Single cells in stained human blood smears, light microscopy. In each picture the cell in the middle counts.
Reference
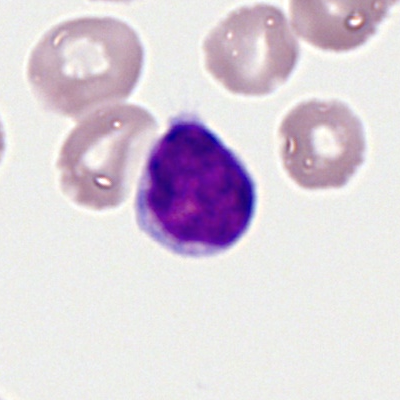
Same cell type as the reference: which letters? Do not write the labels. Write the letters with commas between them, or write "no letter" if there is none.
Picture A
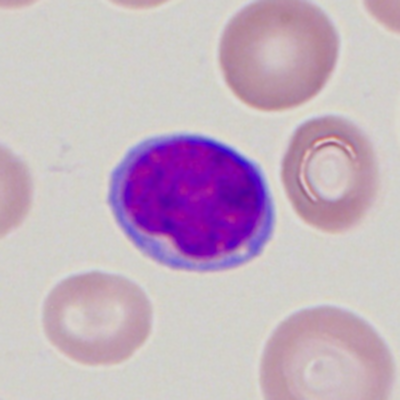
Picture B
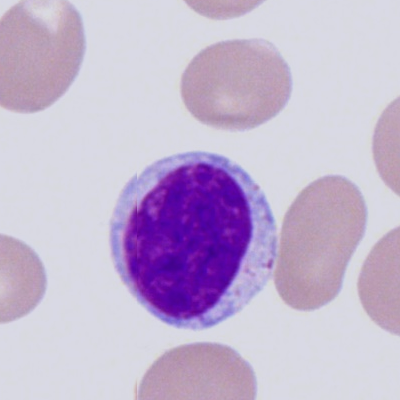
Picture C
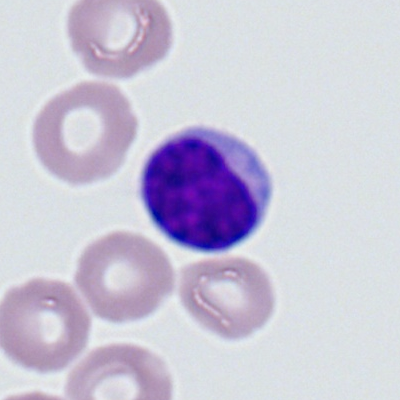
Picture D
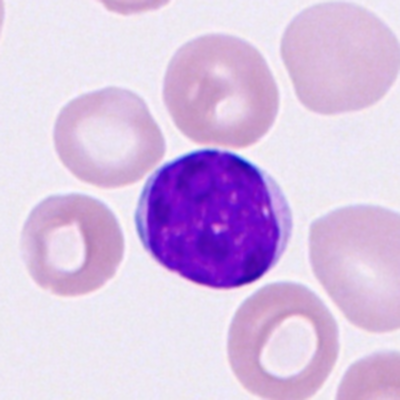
A, B, C, D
